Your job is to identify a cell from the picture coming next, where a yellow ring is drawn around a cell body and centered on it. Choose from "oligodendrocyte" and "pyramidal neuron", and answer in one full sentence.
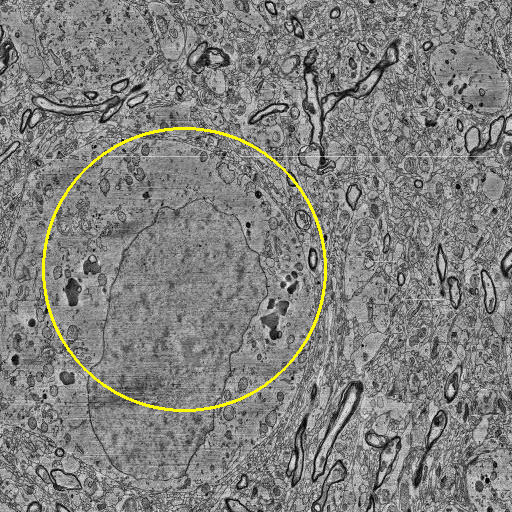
Centered in the yellow ring of the picture is the body of a pyramidal neuron.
